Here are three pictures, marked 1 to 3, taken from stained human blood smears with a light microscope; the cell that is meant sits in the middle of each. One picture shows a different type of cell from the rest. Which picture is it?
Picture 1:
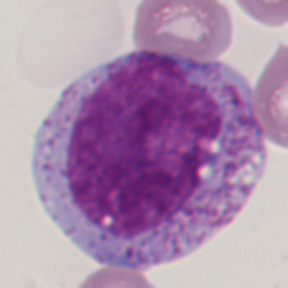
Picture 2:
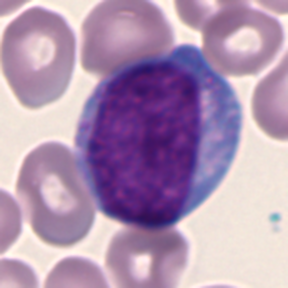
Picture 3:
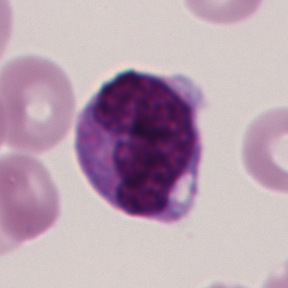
3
